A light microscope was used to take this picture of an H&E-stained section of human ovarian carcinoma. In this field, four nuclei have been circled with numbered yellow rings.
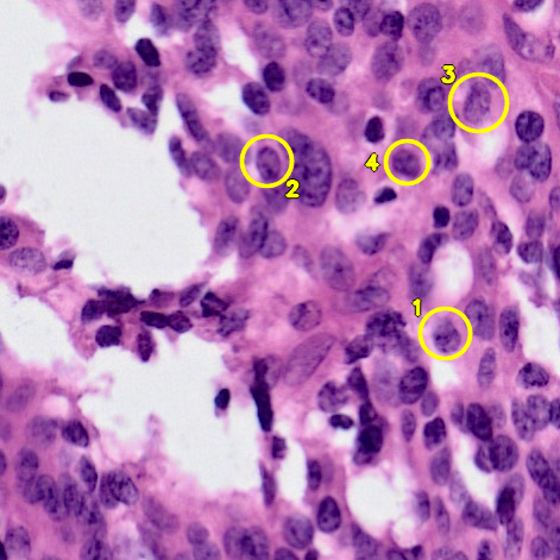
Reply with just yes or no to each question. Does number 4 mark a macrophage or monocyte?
no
